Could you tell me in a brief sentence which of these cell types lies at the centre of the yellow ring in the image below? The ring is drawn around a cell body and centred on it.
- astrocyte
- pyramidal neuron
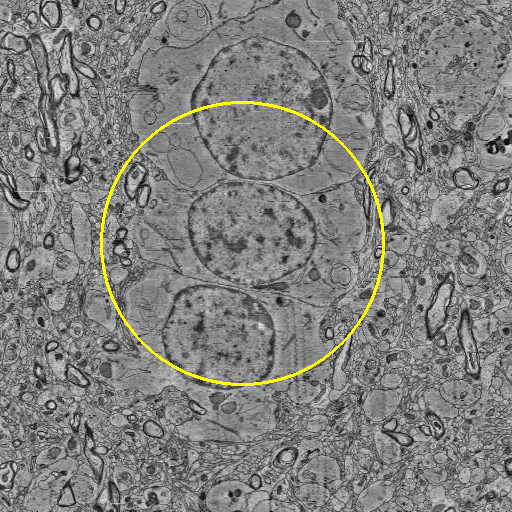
The cell centred in the ring is an astrocyte.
